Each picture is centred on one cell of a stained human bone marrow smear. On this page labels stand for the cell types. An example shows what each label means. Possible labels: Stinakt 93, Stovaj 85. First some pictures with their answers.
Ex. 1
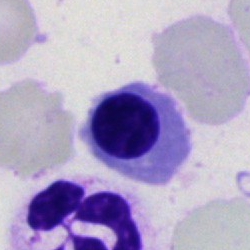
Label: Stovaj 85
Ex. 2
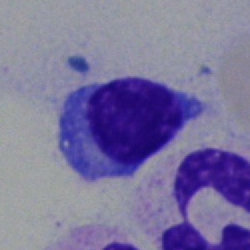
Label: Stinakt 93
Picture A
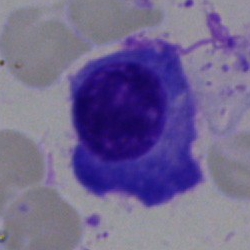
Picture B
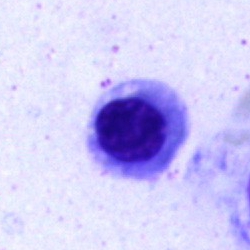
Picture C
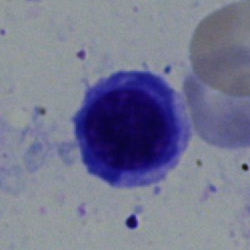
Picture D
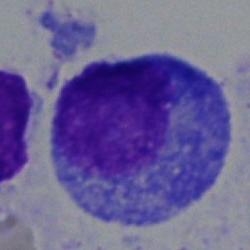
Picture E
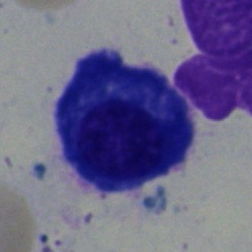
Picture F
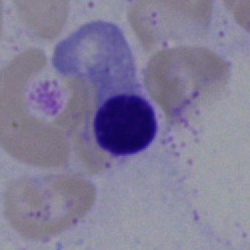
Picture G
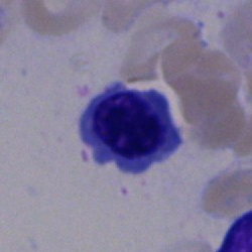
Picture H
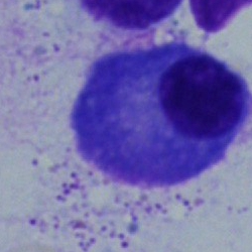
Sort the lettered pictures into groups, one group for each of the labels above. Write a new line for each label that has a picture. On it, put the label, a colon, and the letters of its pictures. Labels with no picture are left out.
Stinakt 93: A, D, E, H
Stovaj 85: B, C, F, G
